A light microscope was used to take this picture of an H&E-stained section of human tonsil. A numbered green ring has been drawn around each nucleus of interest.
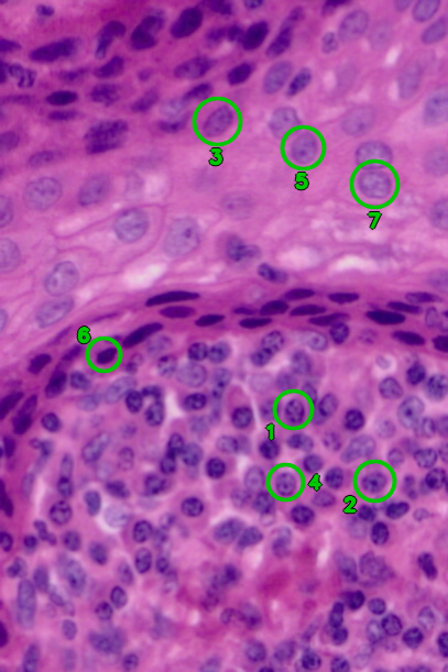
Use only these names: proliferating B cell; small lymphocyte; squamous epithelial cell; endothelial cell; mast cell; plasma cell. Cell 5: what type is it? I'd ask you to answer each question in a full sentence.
The cell that bears the number 5 is a squamous epithelial cell.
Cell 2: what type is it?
The cell whose nucleus carries the number 2 is a plasma cell.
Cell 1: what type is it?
The cell pointed out by number 1 is a plasma cell.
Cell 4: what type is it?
The marked nucleus 4 is that of a plasma cell.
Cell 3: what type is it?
The cell referenced by the number 3 is a squamous epithelial cell in this field.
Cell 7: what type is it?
To a squamous epithelial cell belongs the nucleus marked 7.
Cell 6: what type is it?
Cell 6, as marked in the section, is a squamous epithelial cell.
